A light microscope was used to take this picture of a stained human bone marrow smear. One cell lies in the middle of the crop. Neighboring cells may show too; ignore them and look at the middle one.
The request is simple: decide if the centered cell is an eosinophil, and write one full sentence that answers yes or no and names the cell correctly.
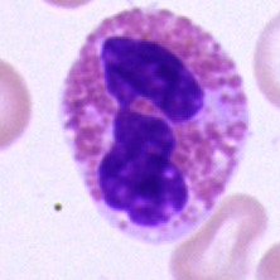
Yes, the cell in the middle is an eosinophil.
